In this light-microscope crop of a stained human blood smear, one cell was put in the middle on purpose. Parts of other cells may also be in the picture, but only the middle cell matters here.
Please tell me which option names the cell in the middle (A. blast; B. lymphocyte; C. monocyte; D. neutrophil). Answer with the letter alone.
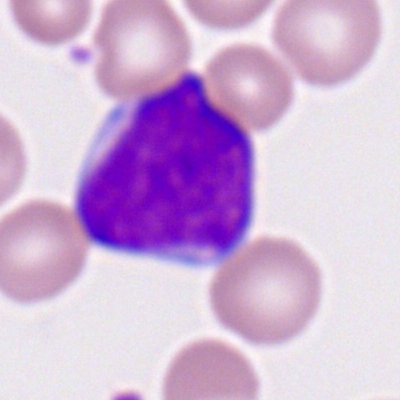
A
